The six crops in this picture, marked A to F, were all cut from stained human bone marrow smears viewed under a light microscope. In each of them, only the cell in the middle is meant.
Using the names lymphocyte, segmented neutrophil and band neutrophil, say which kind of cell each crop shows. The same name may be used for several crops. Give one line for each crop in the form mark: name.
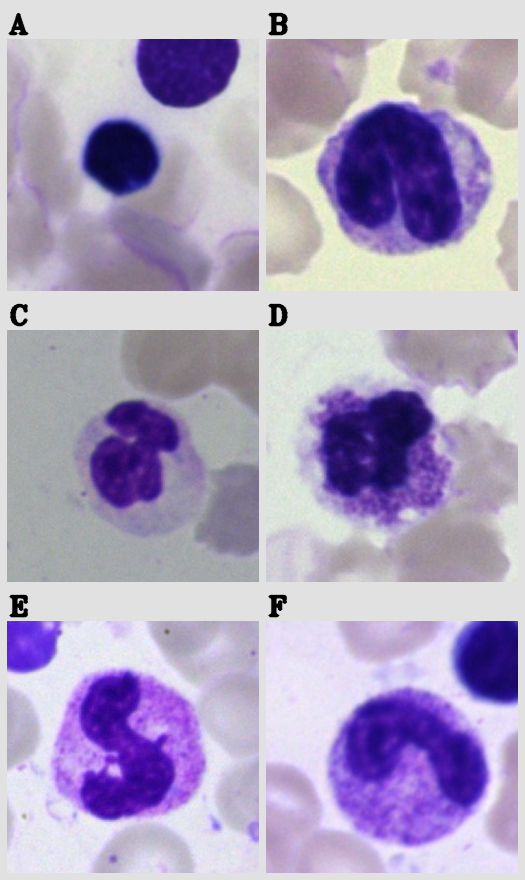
A: lymphocyte
B: band neutrophil
C: segmented neutrophil
D: segmented neutrophil
E: band neutrophil
F: band neutrophil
